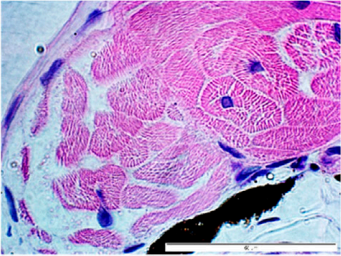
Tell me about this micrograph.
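The muscle fibers stain pink and are cut in cross-section, each showing a fine, mottled internal texture of packed contractile material. The fibers are separated by pale clear spaces, so individual fibers and small groups of them stand out distinctly. A few dark purple, flattened nuclei lie at the edges of the fibers and in the spaces between them. Along the lower edge a band of dark pigment borders the muscle.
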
